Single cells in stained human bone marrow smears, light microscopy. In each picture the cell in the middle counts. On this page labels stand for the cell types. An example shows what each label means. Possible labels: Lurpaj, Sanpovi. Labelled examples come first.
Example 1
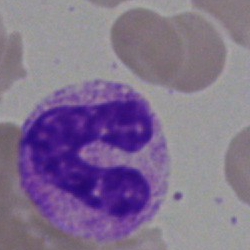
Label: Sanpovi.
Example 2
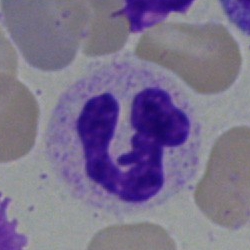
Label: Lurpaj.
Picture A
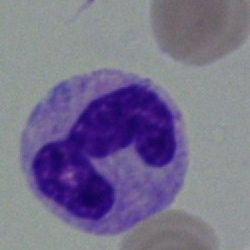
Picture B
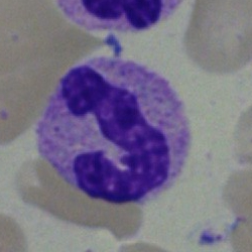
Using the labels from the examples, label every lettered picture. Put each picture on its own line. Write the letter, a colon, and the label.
A: Lurpaj.
B: Sanpovi.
